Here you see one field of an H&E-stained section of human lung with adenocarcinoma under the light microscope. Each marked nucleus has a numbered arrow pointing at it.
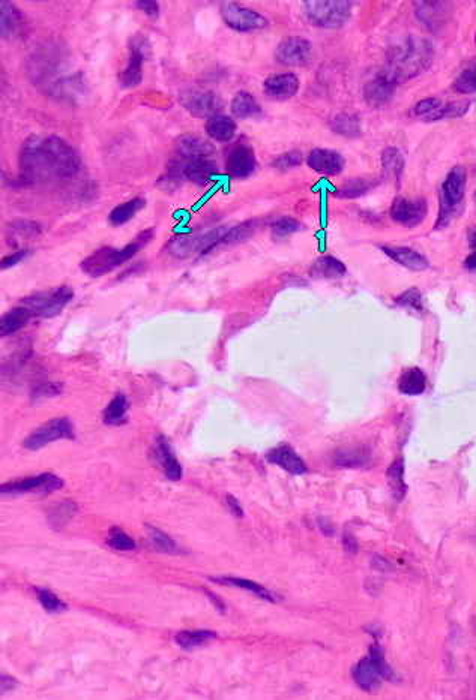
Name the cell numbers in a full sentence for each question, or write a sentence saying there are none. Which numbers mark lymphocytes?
The nucleus labelled 1 alone belongs to a lymphocyte; the other marked nuclei do not.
